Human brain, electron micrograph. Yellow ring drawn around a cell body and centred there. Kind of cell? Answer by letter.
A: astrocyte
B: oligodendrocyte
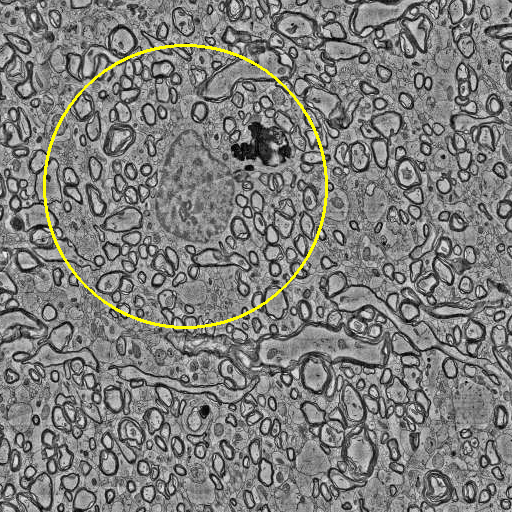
B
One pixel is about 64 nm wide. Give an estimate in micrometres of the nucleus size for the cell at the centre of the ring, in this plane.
About 7 by 5 micrometers, in this plane.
